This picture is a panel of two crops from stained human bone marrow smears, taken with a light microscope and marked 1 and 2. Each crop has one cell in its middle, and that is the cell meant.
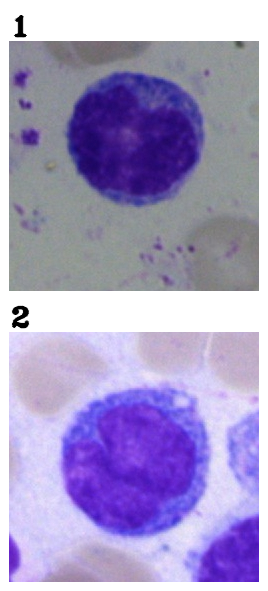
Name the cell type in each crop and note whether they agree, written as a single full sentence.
Yes, the cells at the centre of both crops are monocytes.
